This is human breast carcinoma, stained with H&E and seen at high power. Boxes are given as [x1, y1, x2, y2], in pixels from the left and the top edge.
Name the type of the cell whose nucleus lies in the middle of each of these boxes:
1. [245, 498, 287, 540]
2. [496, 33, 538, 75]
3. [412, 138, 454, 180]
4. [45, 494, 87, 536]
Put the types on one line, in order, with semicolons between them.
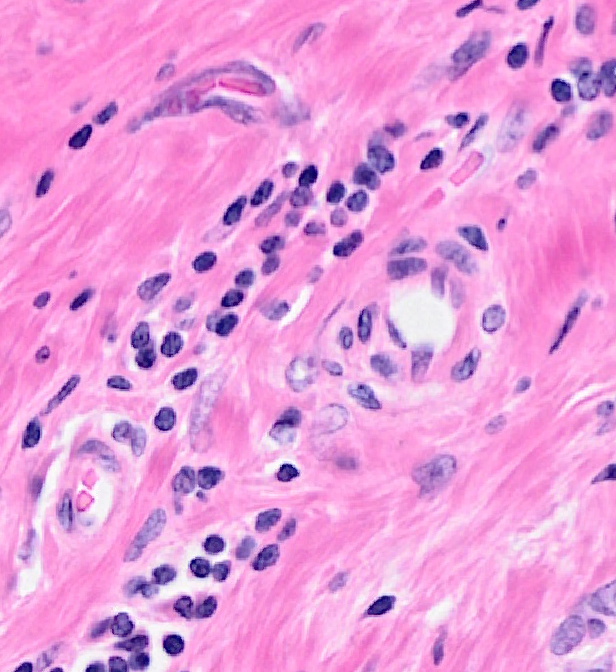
lymphocyte; lymphocyte; lymphocyte; endothelial cell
